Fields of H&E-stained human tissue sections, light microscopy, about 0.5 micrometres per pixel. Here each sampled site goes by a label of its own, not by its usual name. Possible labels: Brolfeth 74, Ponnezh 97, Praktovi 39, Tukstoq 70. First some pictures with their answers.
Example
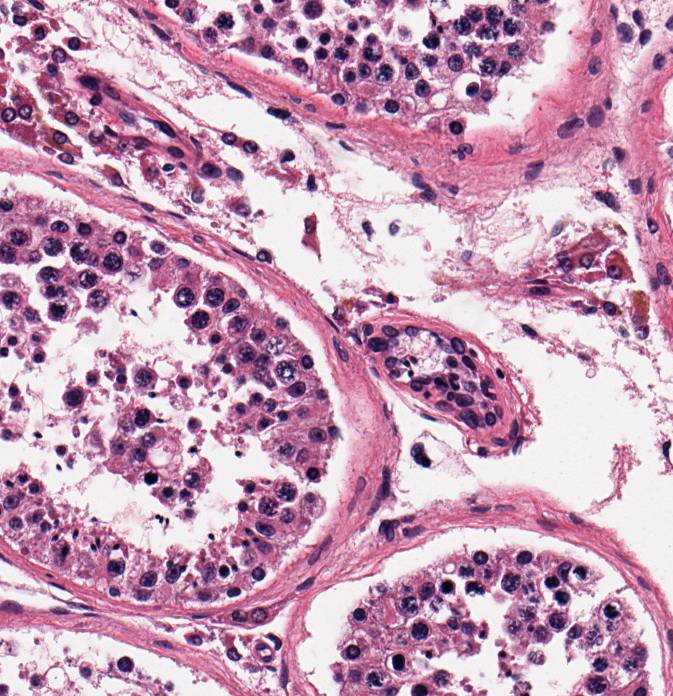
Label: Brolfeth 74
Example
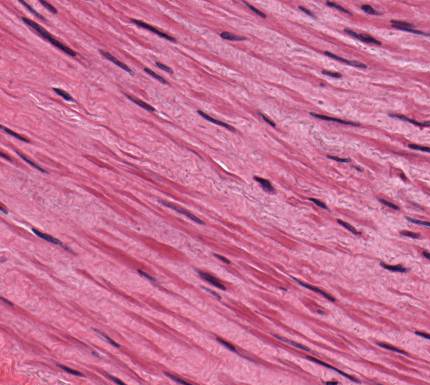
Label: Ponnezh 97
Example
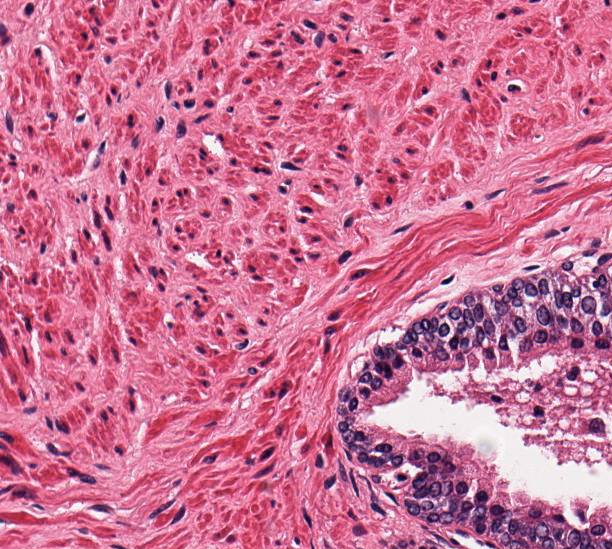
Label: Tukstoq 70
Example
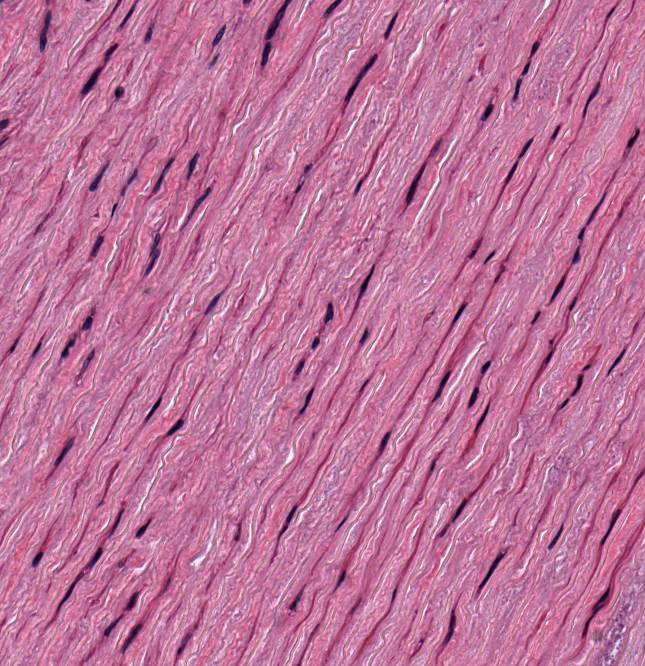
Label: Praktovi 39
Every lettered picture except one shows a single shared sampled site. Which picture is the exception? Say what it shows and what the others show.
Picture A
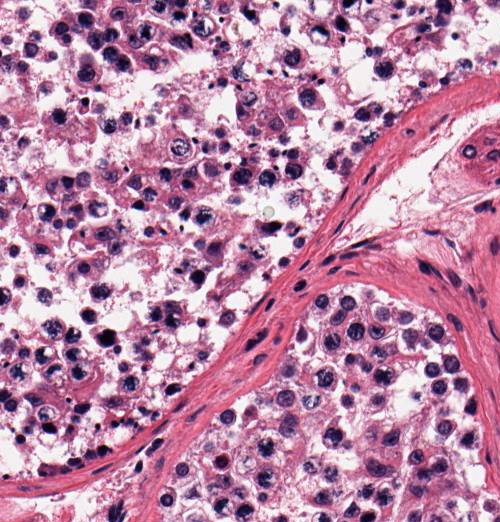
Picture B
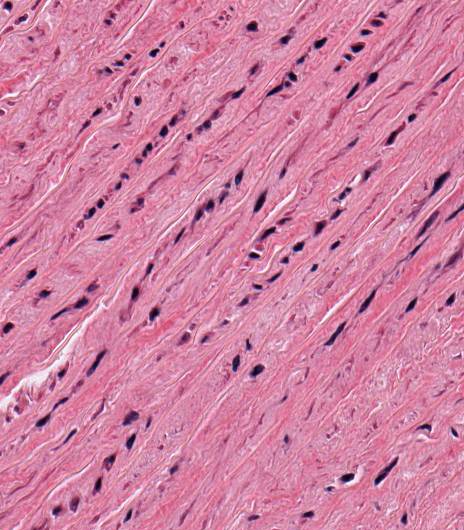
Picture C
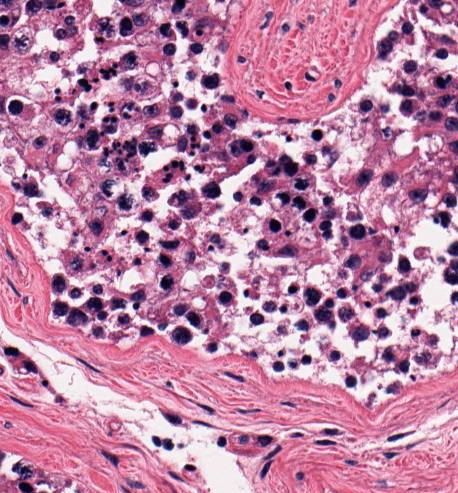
Odd one out: B (Praktovi 39). The rest: Brolfeth 74.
